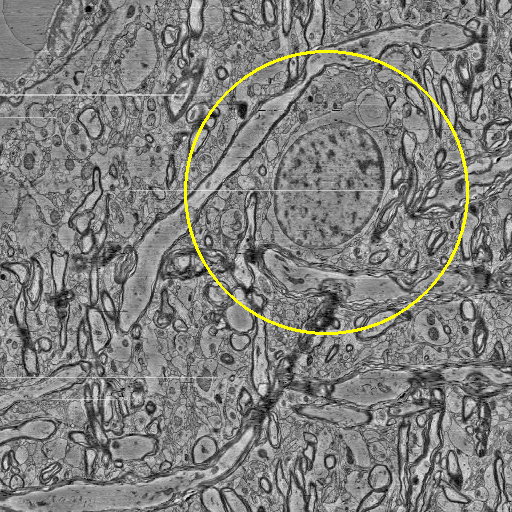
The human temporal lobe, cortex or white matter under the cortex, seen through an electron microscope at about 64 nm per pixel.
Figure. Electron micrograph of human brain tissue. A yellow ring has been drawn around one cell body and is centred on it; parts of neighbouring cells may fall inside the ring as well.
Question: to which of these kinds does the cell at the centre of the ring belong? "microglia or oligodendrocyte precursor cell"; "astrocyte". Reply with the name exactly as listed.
microglia or oligodendrocyte precursor cell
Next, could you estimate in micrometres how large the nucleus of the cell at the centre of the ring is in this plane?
In this plane, approximately 9 by 7 micrometers.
